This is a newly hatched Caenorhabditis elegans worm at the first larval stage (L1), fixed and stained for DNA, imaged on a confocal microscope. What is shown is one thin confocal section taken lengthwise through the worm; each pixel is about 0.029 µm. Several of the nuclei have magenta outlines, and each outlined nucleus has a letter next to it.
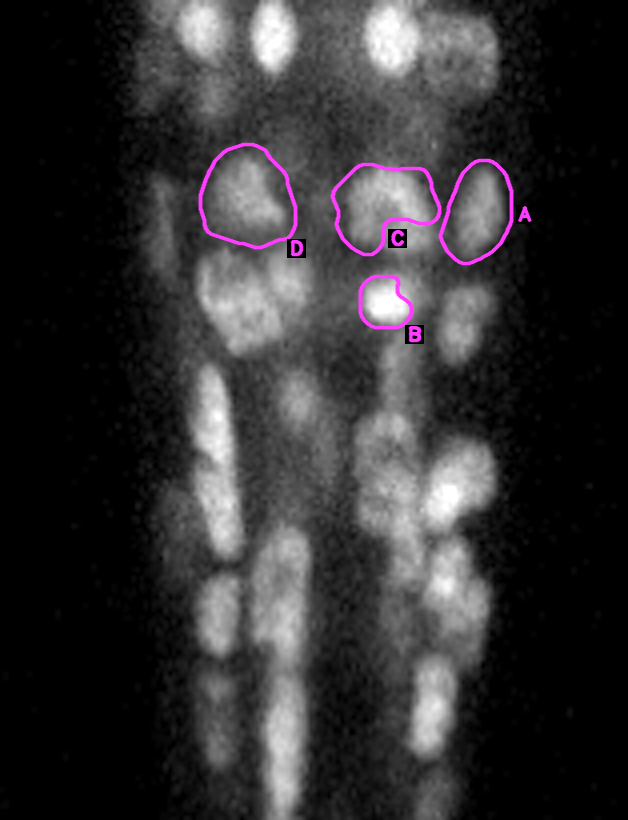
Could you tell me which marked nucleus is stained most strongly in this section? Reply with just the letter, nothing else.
B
